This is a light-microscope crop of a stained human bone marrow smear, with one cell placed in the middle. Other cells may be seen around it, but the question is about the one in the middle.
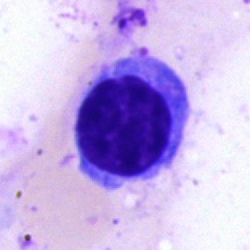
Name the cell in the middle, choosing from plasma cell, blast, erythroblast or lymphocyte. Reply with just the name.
lymphocyte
